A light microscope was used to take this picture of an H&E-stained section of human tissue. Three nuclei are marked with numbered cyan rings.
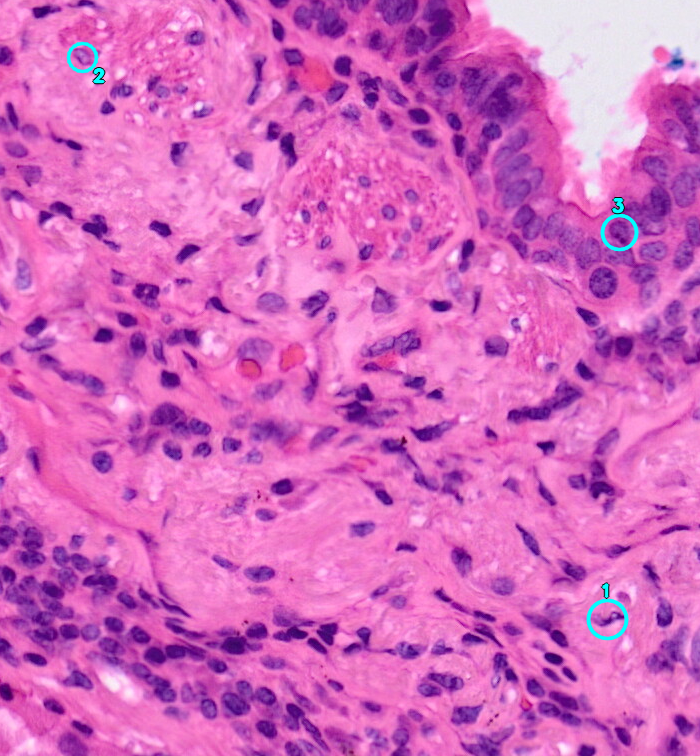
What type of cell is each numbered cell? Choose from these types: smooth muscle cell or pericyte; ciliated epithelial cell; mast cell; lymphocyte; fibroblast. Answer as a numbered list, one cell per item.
1. fibroblast
2. smooth muscle cell or pericyte
3. ciliated epithelial cell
